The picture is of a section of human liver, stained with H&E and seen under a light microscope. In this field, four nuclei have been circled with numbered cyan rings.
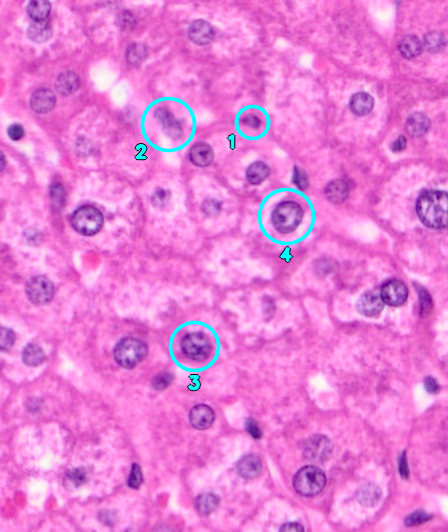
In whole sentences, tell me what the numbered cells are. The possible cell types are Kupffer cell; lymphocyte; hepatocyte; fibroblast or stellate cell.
Cell 1 is a fibroblast or stellate cell, cell 2 is a Kupffer cell, cell 3 is a hepatocyte and cell 4 is a hepatocyte.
